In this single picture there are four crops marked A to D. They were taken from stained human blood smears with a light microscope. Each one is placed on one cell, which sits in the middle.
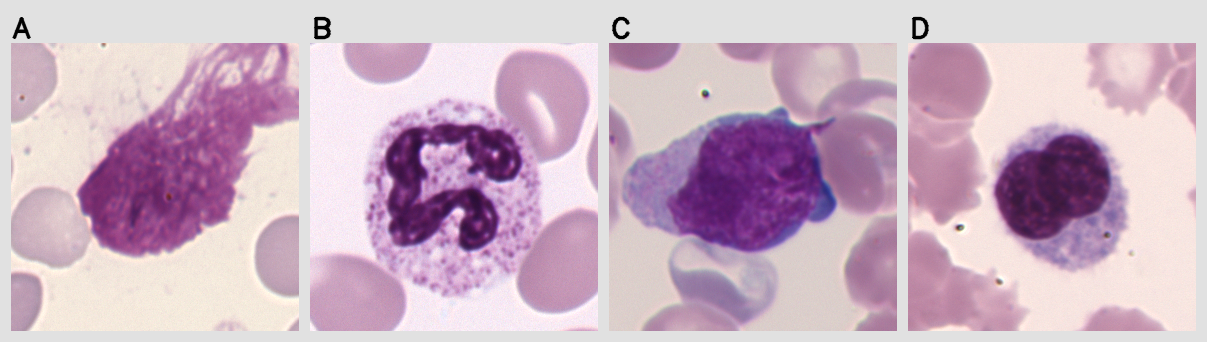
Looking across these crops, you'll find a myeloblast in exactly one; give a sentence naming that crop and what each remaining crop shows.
Crop C comes out as a myeloblast, while crop A is a smudge cell, crop B is a neutrophil and crop D is a hairy cell.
